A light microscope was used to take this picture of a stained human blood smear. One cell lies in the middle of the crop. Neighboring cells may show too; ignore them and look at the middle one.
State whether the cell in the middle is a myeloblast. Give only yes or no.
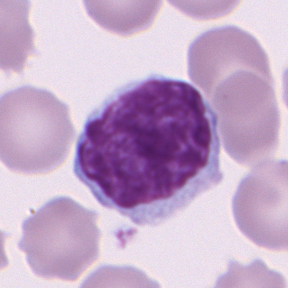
no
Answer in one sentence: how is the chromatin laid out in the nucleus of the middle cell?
This nucleus has coarsely clumped chromatin.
